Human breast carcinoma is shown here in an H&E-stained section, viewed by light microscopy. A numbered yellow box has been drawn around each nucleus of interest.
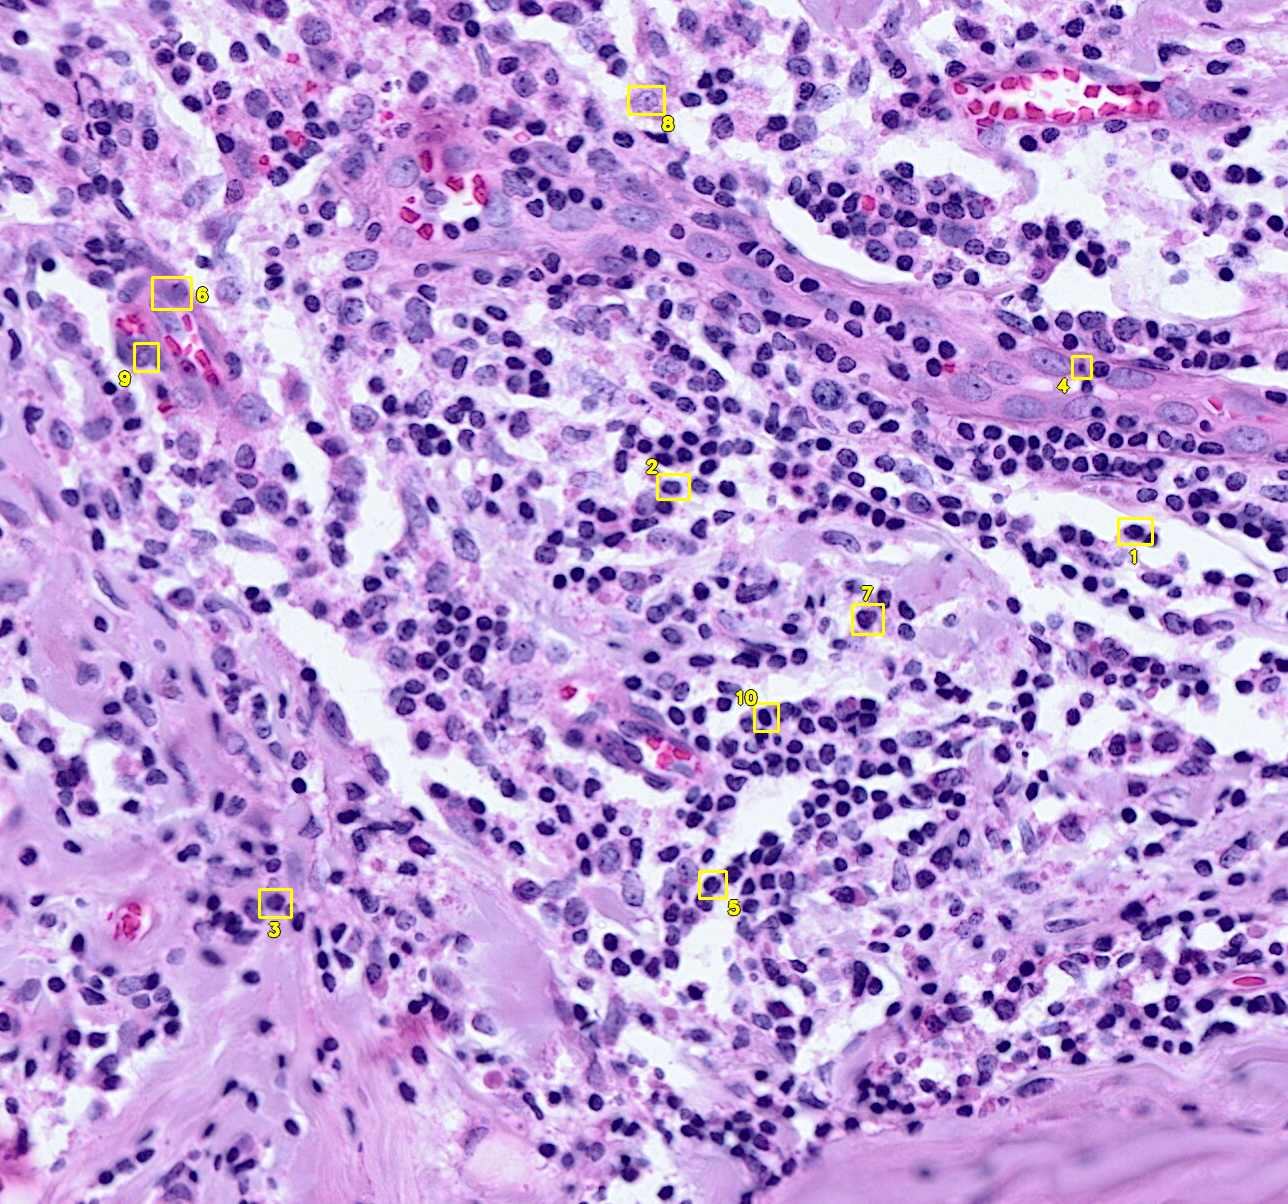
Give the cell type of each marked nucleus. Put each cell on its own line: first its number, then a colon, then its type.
1: lymphocyte
2: lymphocyte
3: lymphocyte
4: endothelial cell
5: lymphocyte
6: endothelial cell
7: lymphocyte
8: macrophage, monocyte or dendritic cell
9: endothelial cell
10: lymphocyte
